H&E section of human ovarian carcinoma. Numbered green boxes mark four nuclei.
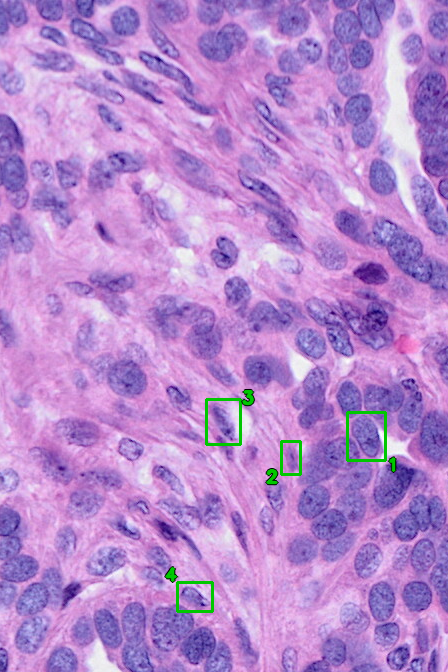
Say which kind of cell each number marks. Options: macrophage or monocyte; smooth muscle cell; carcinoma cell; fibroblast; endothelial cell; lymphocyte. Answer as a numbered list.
1. carcinoma cell
2. fibroblast
3. fibroblast
4. fibroblast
